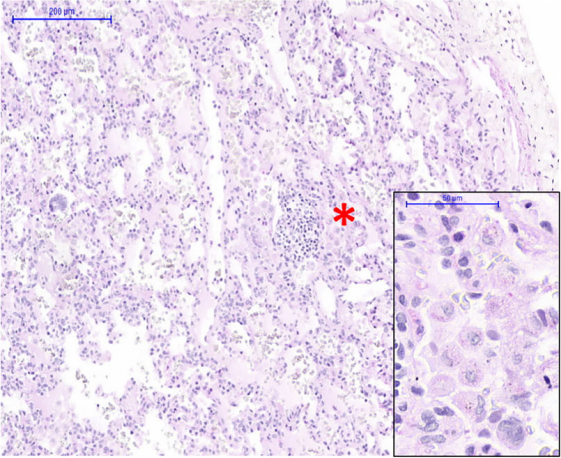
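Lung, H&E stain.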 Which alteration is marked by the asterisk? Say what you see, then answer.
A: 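Airspaces near the asterisk are filled with loosely packed rounded cells. The inset shows large cells with abundant pale pink cytoplasm and round nuclei lying free in a space.
Answer: intraluminal macrophage accumulation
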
